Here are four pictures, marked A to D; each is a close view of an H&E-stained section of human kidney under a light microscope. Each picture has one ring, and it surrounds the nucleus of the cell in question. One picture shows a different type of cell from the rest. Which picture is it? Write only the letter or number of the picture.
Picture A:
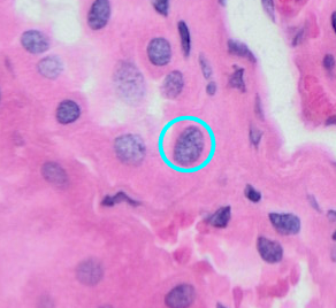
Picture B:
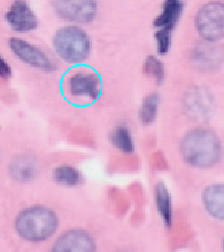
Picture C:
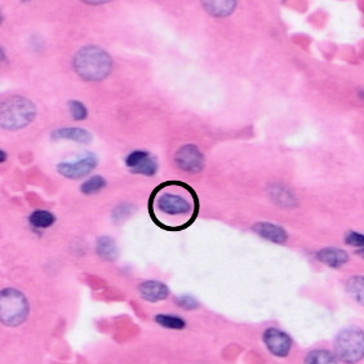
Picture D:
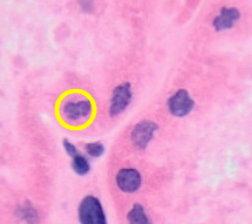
D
